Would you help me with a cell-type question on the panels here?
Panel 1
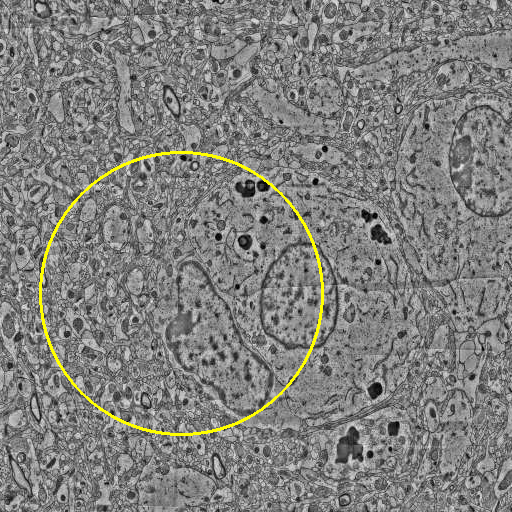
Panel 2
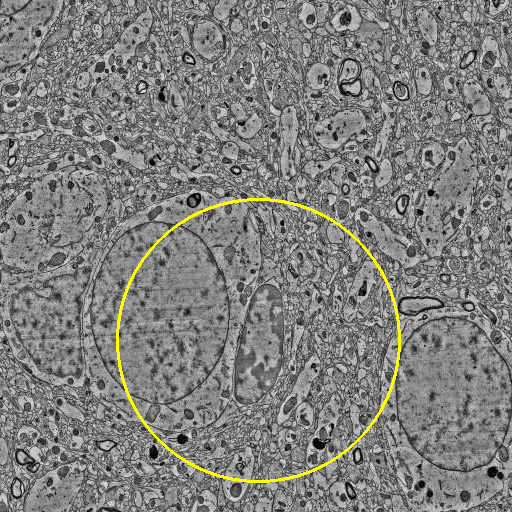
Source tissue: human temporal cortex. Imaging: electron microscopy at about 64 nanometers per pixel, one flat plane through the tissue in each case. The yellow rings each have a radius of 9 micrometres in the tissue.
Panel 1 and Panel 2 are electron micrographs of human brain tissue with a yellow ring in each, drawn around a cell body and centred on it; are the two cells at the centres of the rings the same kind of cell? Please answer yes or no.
yes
